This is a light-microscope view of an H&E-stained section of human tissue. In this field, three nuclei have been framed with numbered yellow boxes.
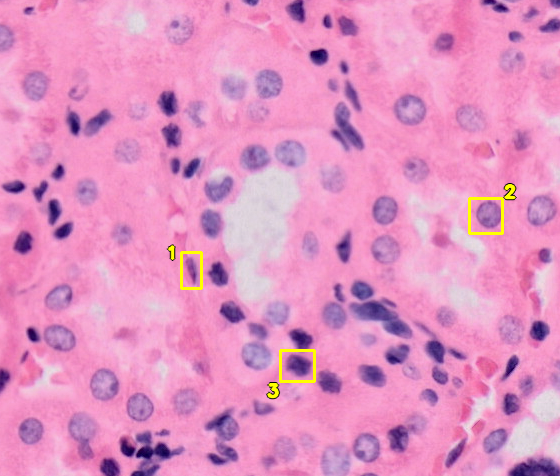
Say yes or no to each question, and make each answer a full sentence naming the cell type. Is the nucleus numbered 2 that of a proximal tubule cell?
Yes, the cell identified by number 2 is a proximal tubule cell.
